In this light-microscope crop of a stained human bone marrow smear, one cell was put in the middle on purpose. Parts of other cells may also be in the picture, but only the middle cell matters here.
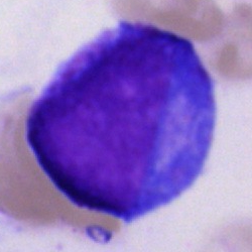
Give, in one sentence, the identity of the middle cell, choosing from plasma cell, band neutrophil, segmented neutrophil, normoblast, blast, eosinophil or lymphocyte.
The cell positioned in the middle of the field is a blast.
